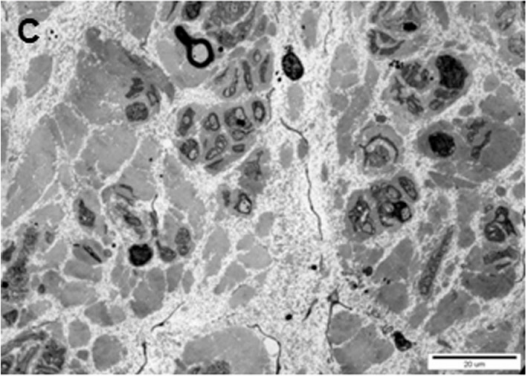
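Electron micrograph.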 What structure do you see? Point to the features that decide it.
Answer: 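Several small axon profiles lie grouped together within common outlines. The groups are separated by pale, fibrillar endoneurial matrix. On this evidence: axonal clustering.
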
